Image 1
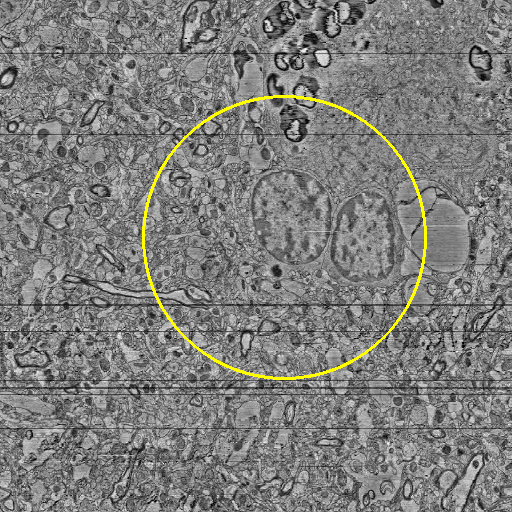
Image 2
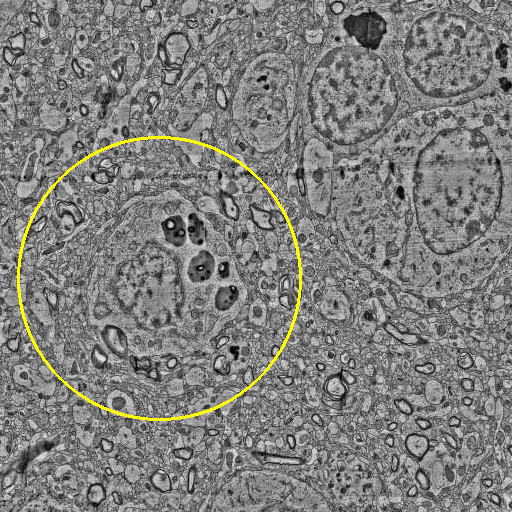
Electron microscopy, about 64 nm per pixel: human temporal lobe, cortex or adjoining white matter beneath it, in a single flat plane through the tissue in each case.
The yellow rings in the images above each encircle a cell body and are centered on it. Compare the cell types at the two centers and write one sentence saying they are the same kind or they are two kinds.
Taken together, the two cells at the ring centers are two kinds.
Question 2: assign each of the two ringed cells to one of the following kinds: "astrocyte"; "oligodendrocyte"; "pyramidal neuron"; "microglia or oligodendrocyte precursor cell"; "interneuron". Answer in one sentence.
The two cells are an oligodendrocyte in the first picture and an interneuron in the second.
